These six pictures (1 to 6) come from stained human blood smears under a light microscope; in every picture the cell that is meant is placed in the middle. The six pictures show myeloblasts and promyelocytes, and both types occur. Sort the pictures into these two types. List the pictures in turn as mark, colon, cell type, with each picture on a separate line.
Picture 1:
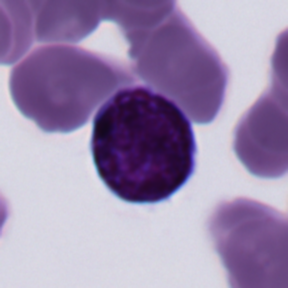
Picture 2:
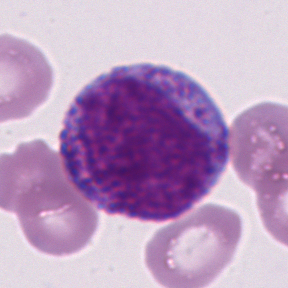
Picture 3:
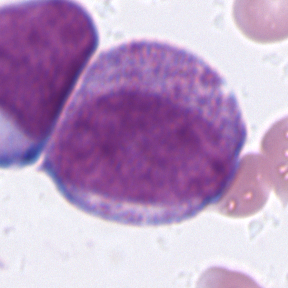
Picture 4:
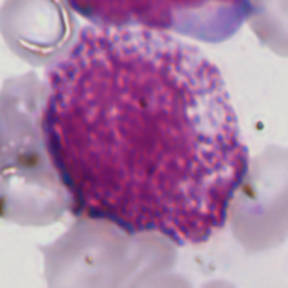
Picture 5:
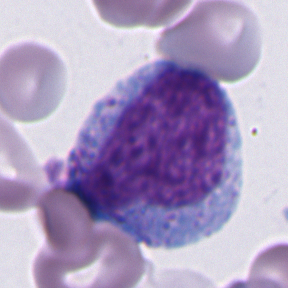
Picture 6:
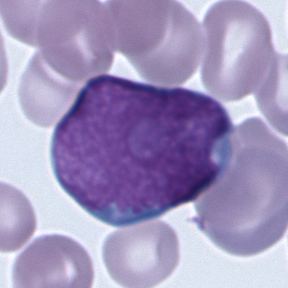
1: myeloblast
2: promyelocyte
3: promyelocyte
4: promyelocyte
5: promyelocyte
6: myeloblast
